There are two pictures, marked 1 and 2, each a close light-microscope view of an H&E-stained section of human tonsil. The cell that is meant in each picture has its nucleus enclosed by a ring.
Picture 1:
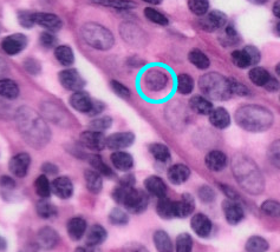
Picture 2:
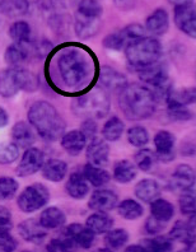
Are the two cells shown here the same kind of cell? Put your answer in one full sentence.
No. Picture 1 shows an endothelial cell, but picture 2 shows a proliferating B cell.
